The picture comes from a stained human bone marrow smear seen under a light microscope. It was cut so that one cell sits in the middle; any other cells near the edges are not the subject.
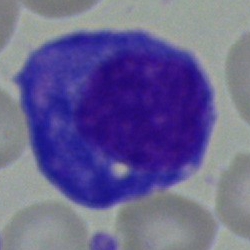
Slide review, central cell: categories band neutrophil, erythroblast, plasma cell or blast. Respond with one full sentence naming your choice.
The single cell at the center of the crop is a plasma cell.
